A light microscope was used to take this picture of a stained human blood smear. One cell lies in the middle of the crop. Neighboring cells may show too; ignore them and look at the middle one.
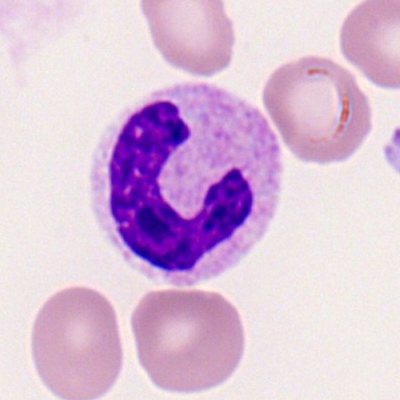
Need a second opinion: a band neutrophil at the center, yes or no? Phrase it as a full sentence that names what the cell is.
Yes, the middle cell in this crop is a band neutrophil.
